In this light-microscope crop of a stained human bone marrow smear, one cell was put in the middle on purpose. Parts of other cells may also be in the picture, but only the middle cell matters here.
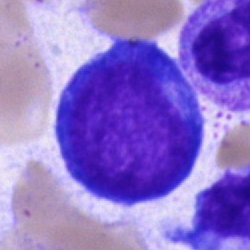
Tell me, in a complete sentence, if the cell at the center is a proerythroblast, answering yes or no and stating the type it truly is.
Yes, the cell shown centrally is a proerythroblast.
